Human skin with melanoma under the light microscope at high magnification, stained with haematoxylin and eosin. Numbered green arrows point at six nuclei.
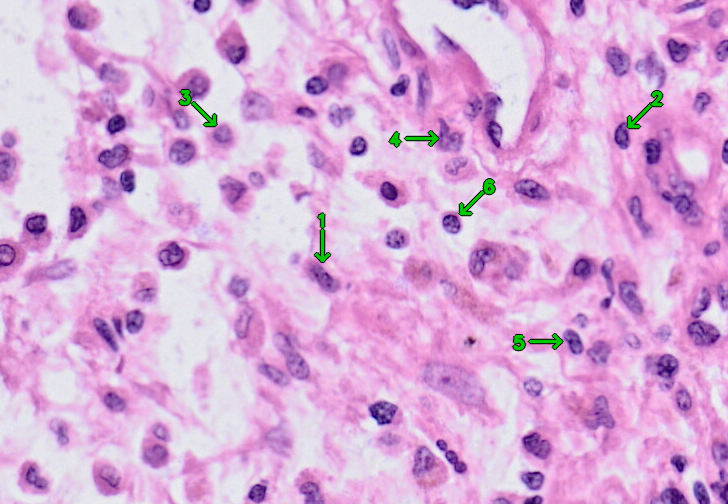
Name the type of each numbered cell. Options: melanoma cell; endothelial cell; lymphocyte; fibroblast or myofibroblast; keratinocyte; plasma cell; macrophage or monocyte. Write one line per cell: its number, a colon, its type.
1: macrophage or monocyte
2: lymphocyte
3: macrophage or monocyte
4: macrophage or monocyte
5: lymphocyte
6: lymphocyte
